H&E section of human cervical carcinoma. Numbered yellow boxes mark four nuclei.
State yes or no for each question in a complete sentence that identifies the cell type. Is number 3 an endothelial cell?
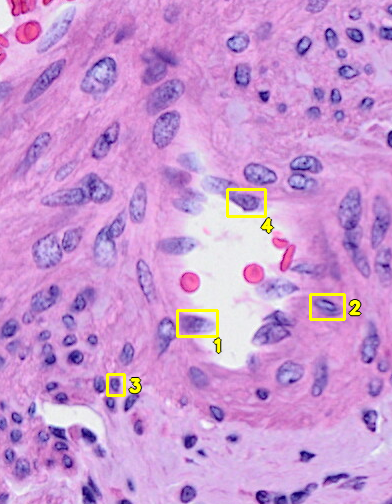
No, cell 3, which is a smooth muscle cell, is not an endothelial cell.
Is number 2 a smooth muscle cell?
Yes, the cell labelled with number 2 is a smooth muscle cell.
